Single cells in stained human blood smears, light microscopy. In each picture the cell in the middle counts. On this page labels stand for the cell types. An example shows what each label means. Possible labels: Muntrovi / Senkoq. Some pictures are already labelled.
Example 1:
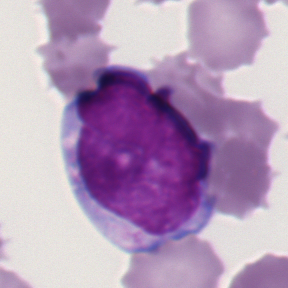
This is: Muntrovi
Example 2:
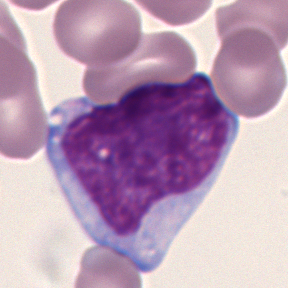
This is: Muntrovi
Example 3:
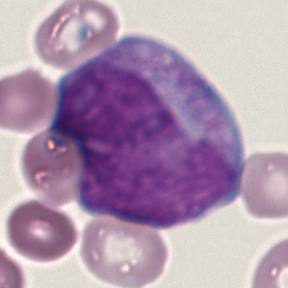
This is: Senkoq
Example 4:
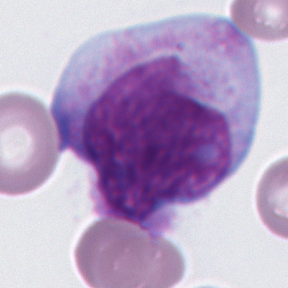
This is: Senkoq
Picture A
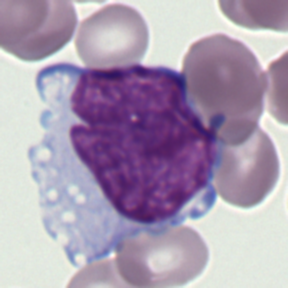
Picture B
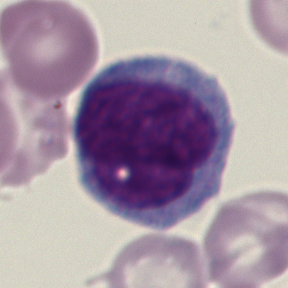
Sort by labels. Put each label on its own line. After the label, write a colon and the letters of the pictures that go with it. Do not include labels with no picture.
Muntrovi: A, B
